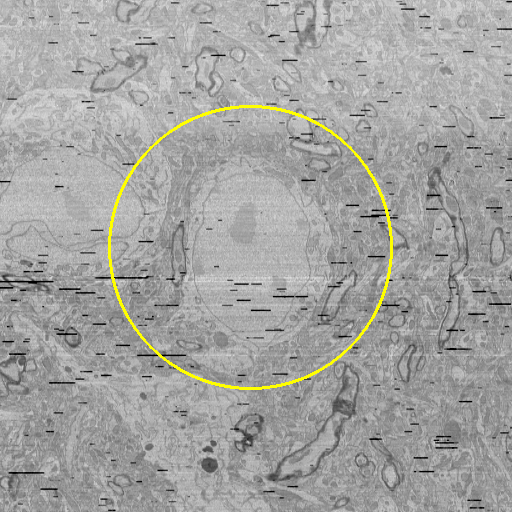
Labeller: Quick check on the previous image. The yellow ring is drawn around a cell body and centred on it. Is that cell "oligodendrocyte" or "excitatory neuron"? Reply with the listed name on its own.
excitatory neuron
